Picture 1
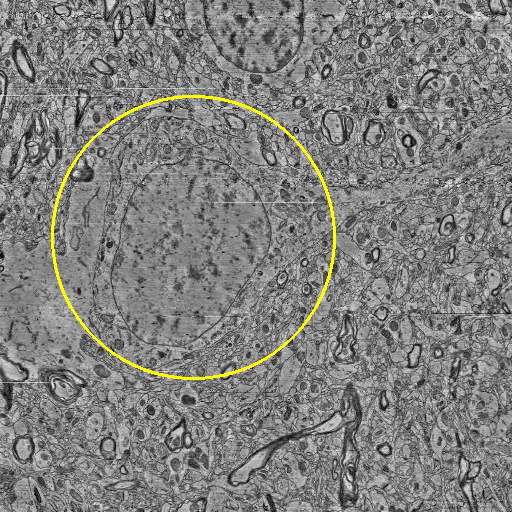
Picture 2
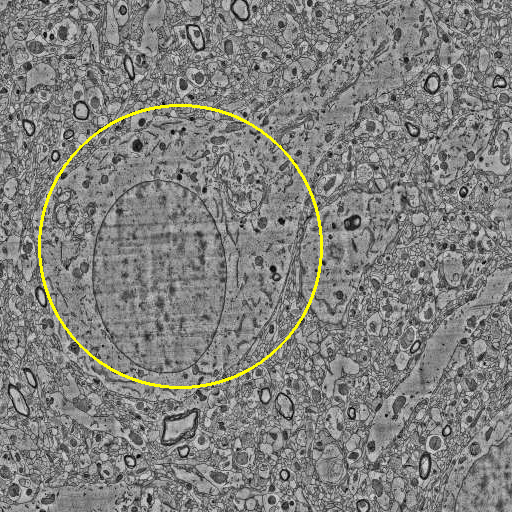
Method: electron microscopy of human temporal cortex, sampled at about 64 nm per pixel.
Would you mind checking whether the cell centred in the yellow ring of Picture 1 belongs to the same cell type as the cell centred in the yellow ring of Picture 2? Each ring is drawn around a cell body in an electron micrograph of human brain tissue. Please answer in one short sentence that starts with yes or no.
Yes, both cells are of the same type.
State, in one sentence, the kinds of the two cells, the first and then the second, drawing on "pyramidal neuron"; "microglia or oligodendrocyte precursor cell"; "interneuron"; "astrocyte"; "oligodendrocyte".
Both cells are the same kind, each one being a pyramidal neuron.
